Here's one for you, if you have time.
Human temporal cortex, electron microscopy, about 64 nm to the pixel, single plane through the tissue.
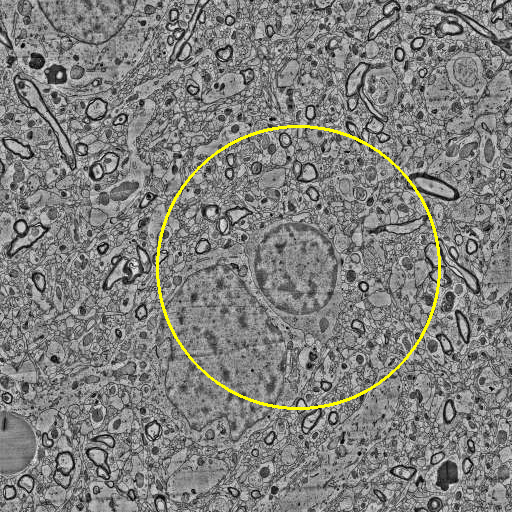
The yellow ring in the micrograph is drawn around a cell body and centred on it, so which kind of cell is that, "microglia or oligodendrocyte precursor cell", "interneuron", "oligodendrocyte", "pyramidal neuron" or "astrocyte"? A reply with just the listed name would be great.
oligodendrocyte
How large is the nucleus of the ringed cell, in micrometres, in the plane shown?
About 6 micrometres across in this plane.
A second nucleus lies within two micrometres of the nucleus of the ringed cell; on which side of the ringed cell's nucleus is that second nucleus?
The other nucleus lies to the lower left of it.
